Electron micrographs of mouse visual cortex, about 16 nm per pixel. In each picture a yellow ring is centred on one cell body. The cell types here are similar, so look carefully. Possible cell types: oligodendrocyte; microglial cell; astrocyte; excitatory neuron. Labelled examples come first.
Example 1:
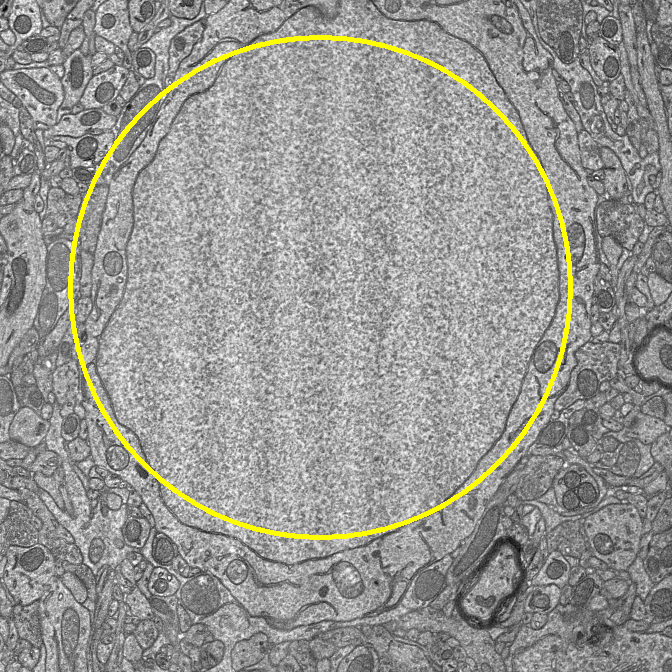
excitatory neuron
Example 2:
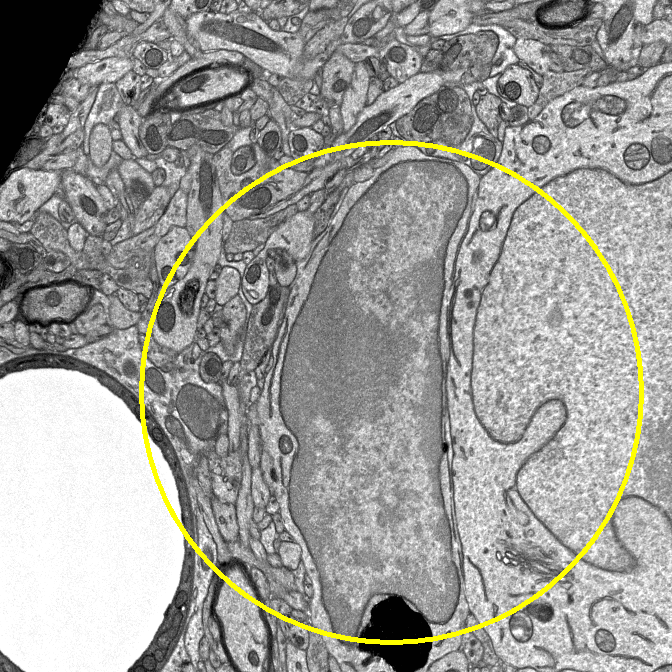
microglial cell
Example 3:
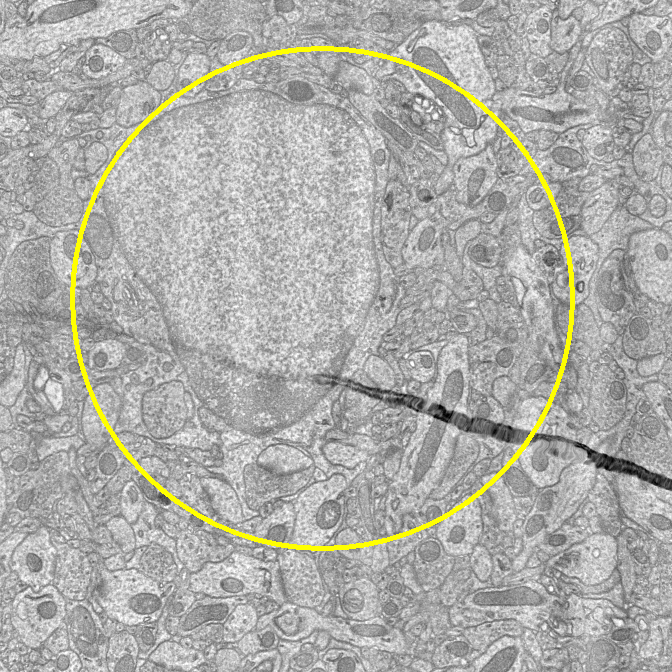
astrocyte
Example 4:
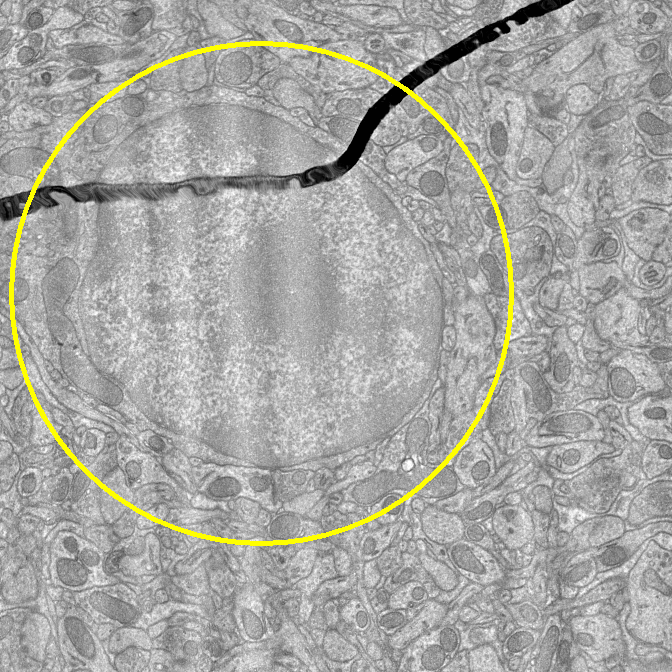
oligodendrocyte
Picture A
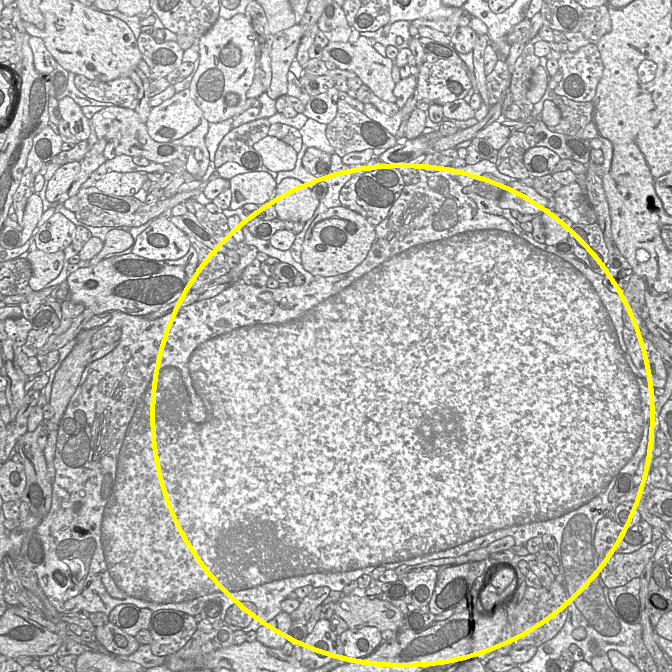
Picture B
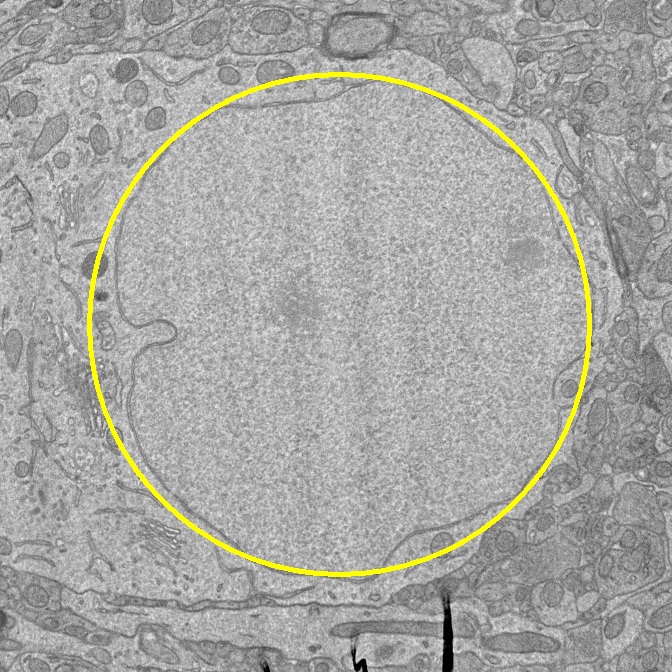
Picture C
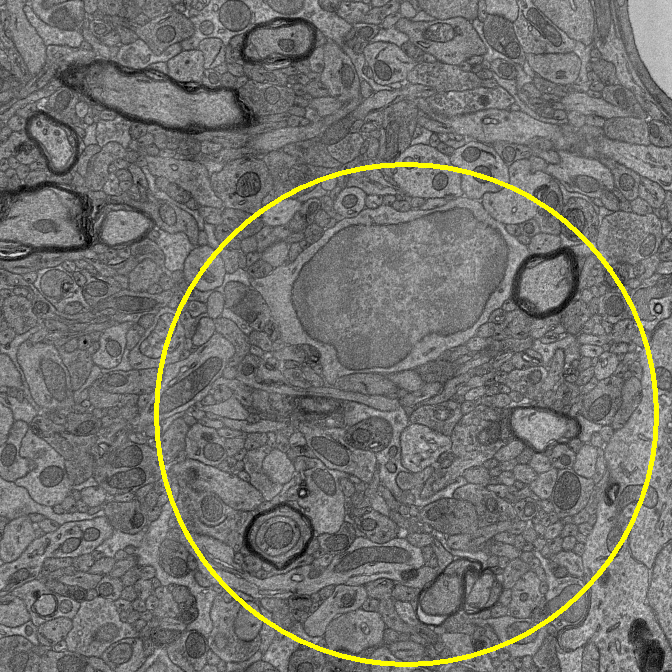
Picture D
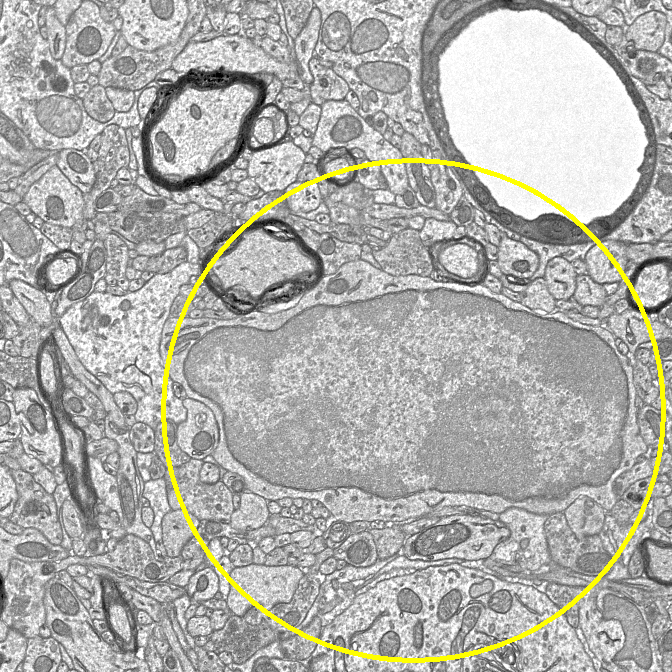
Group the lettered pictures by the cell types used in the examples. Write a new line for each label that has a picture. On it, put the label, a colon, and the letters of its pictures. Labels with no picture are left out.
microglial cell: C, D
astrocyte: A
excitatory neuron: B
